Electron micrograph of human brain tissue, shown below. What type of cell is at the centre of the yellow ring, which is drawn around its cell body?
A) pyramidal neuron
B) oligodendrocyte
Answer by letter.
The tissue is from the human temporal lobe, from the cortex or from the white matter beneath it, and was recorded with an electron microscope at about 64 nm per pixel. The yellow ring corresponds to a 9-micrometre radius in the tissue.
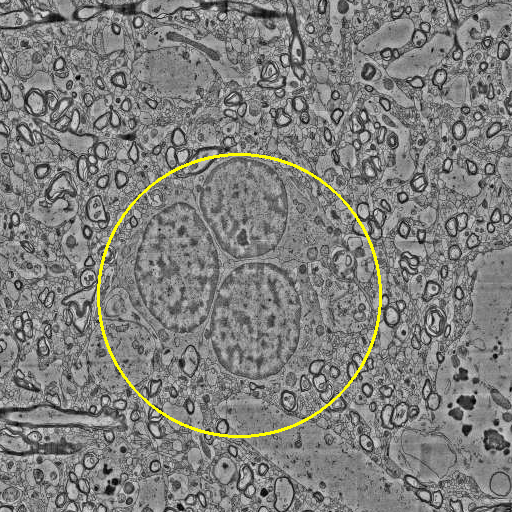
B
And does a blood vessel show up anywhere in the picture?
No, none appears.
